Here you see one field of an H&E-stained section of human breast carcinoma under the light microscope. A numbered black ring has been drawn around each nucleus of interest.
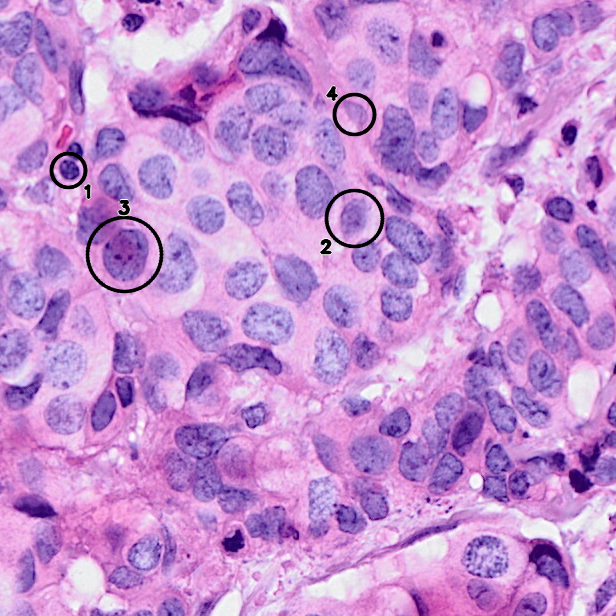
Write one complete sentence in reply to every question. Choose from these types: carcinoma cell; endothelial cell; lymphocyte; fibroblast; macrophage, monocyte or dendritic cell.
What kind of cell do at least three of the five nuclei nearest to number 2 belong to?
Of the five nuclei nearest to number 2, most belong to carcinoma cells.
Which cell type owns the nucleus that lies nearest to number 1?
The nearest nucleus to number 1 belongs to a lymphocyte.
